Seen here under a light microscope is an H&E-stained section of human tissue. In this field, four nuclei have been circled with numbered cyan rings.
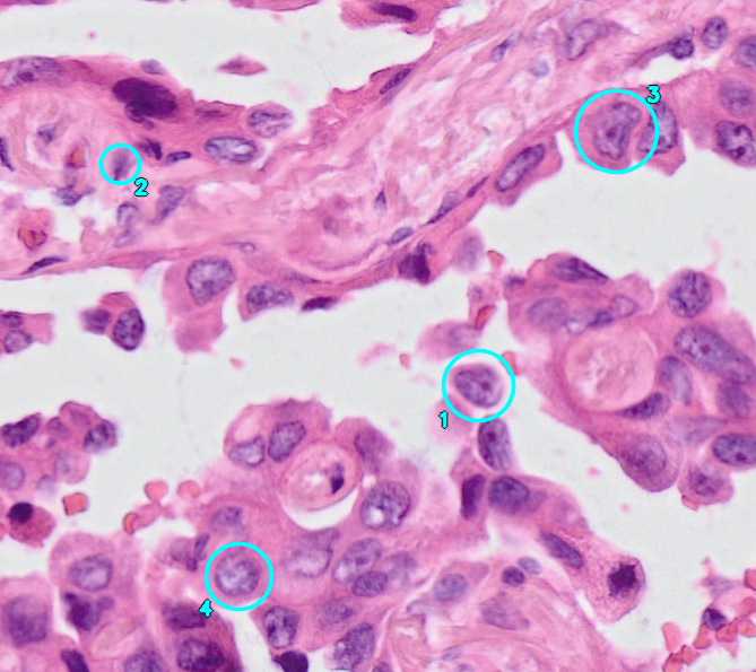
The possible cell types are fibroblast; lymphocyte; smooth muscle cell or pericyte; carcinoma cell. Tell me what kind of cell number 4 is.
carcinoma cell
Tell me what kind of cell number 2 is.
fibroblast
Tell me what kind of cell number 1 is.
carcinoma cell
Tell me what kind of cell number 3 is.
carcinoma cell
